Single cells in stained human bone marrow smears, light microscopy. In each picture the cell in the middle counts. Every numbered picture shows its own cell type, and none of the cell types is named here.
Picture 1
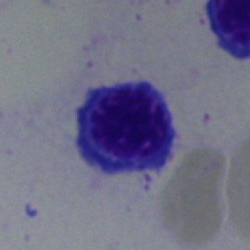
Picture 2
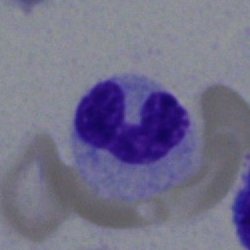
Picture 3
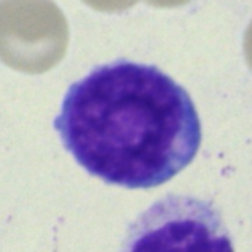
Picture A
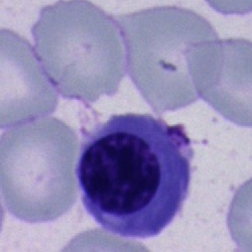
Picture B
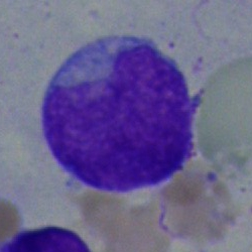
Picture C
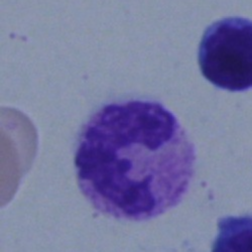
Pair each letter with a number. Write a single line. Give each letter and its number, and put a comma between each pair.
A 1, B 3, C 2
